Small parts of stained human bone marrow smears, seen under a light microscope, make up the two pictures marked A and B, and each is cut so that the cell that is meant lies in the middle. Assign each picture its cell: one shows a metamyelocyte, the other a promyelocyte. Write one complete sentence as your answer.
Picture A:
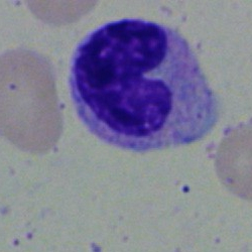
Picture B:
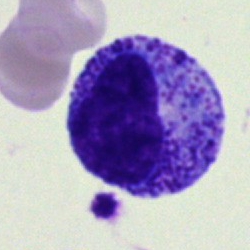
Picture A shows a metamyelocyte and picture B shows a promyelocyte.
